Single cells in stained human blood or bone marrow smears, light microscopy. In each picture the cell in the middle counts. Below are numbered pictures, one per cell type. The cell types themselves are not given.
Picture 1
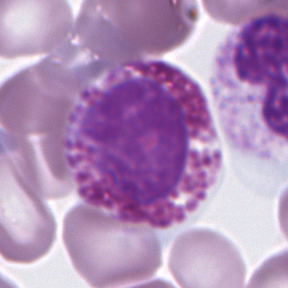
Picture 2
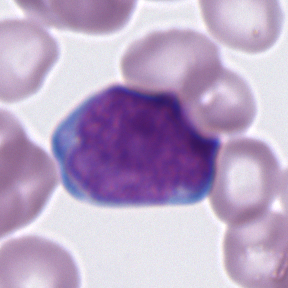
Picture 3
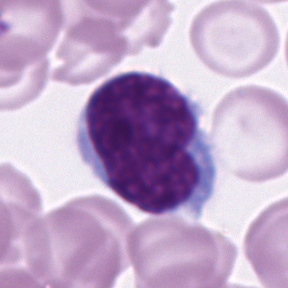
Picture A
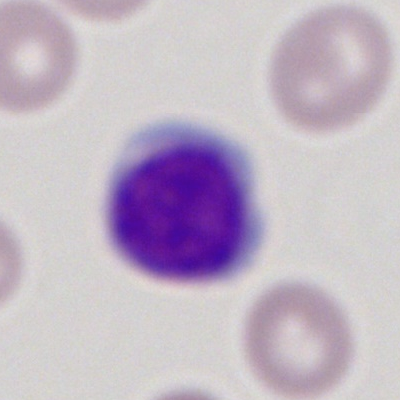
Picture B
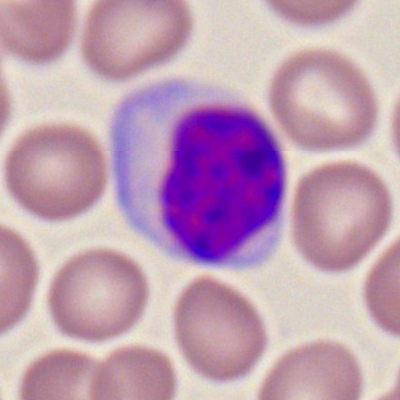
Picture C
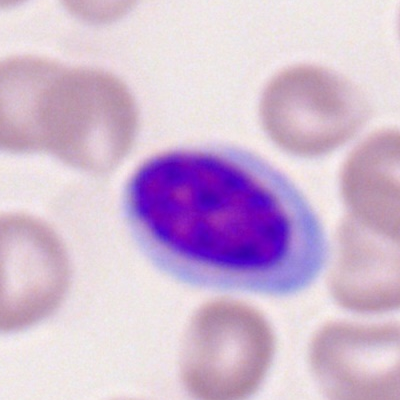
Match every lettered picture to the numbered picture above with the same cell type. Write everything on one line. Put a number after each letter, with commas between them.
A 3, B 3, C 3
